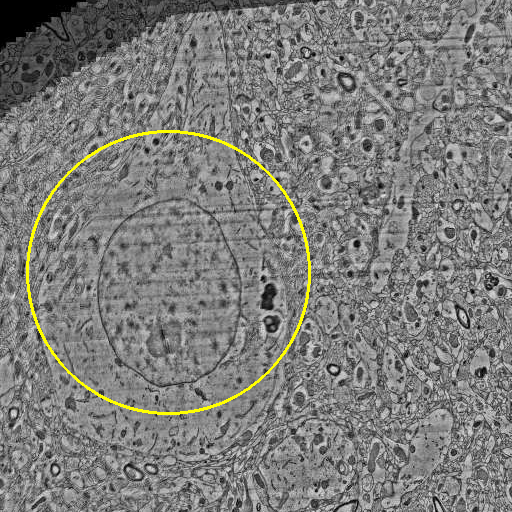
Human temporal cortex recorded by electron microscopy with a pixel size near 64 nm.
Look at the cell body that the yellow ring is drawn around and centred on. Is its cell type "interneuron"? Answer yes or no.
no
